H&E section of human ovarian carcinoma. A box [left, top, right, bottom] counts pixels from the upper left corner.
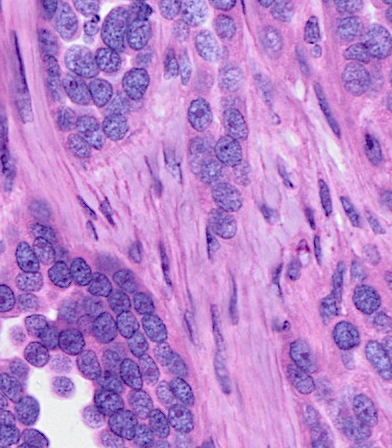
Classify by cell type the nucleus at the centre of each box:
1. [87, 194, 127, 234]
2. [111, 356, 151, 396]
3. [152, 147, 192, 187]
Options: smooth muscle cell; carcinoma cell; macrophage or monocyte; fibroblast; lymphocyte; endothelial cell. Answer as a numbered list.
1. fibroblast
2. carcinoma cell
3. fibroblast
